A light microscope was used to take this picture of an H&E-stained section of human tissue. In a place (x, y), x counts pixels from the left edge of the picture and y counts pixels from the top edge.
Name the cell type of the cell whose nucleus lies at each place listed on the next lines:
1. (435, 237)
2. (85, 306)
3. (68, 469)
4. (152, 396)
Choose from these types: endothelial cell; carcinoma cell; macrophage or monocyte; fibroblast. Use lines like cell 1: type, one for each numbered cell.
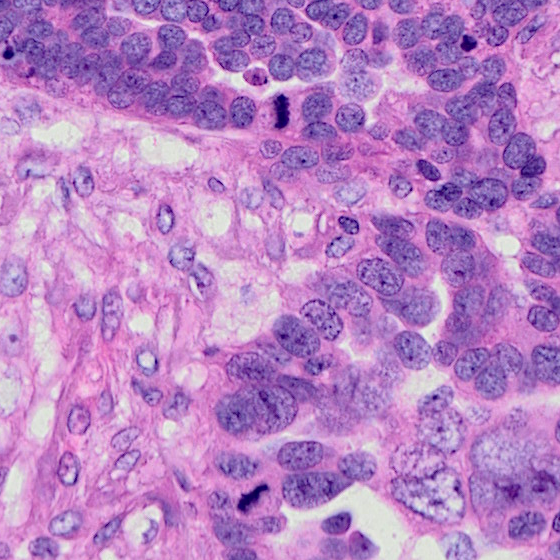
cell 1: carcinoma cell
cell 2: fibroblast
cell 3: fibroblast
cell 4: fibroblast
